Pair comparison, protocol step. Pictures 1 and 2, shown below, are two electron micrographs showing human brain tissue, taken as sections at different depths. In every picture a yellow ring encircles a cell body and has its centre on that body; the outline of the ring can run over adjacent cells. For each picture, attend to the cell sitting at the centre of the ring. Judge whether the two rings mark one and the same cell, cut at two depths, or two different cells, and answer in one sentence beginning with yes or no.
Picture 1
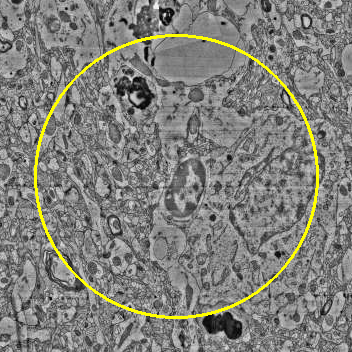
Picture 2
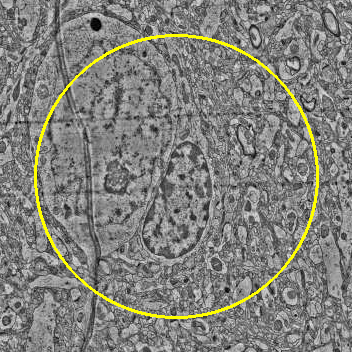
No, the circled cells number two, not one.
